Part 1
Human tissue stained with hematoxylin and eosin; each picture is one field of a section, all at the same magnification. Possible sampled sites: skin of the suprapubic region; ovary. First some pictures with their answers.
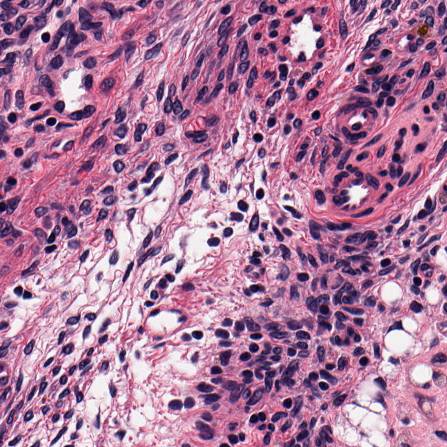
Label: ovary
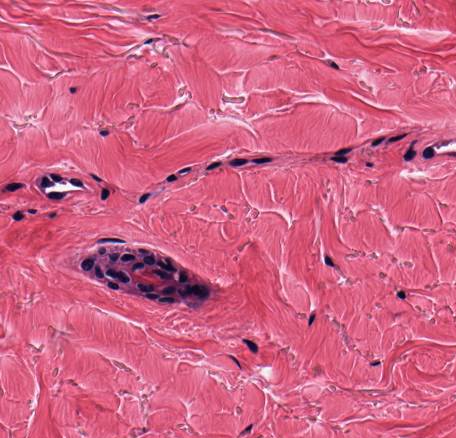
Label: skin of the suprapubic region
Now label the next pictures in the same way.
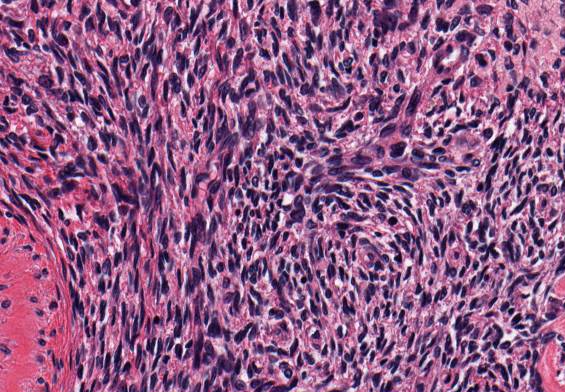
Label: ovary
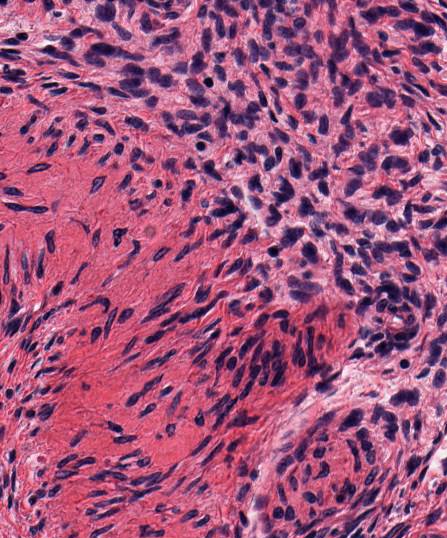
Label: ovary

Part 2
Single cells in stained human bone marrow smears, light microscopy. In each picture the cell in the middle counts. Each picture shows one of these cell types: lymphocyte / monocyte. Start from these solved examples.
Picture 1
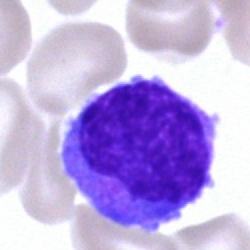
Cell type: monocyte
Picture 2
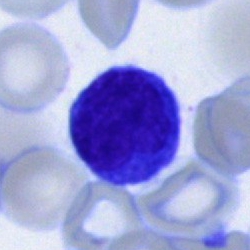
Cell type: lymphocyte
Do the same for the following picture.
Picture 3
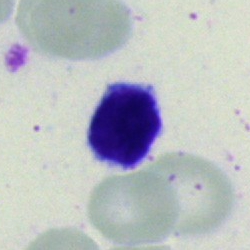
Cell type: lymphocyte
